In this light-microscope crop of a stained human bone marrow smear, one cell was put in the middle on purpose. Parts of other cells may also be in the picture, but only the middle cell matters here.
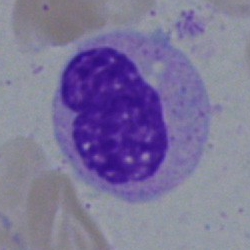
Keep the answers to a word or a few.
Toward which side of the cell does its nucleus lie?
left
